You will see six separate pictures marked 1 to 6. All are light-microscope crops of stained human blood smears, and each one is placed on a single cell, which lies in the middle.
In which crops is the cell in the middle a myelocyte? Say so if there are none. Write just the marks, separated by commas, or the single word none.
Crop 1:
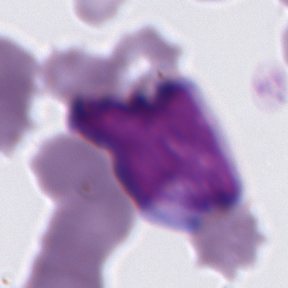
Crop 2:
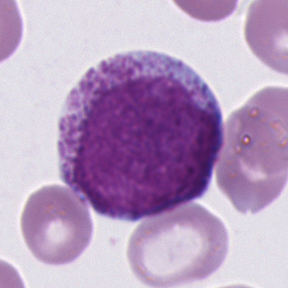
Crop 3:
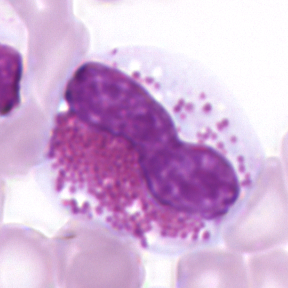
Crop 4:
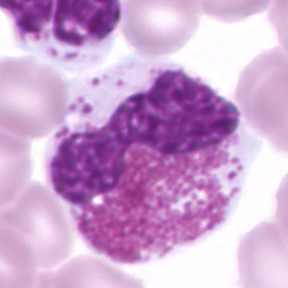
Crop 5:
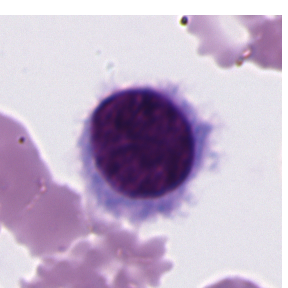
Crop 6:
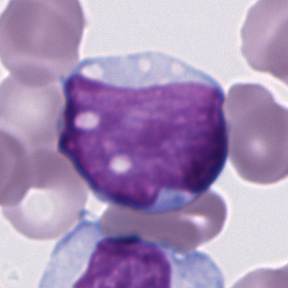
2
